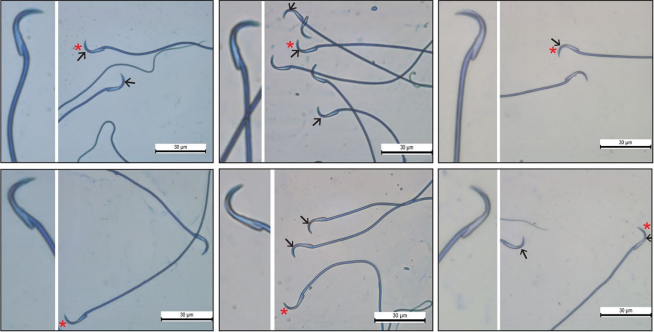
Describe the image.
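These are rodent spermatozoa on a slide, each with a small hook-shaped head and a long, thin, blue-stained tail that curves across the field. Some heads keep a blue-stained cap along the hook, while others look paler there, and an enlarged view of a single hooked head is set beside each field.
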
